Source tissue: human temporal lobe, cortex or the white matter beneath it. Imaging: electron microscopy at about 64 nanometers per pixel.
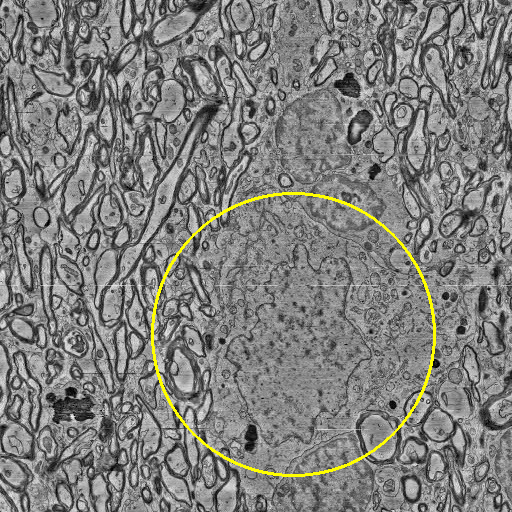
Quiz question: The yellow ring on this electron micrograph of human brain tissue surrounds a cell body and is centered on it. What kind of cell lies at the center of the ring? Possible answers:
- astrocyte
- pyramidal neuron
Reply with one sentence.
The ring's center lies on a pyramidal neuron.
